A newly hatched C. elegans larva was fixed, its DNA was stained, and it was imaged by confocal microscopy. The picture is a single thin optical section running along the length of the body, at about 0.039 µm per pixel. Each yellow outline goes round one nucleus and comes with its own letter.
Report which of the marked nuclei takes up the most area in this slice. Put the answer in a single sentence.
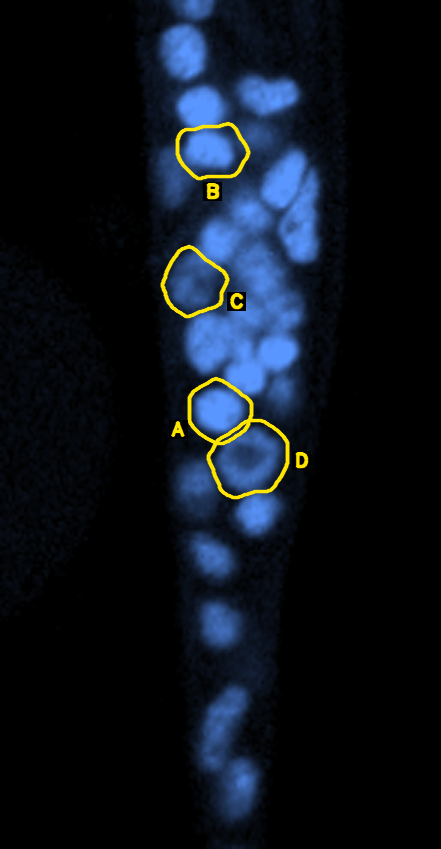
D has the largest area in this section.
